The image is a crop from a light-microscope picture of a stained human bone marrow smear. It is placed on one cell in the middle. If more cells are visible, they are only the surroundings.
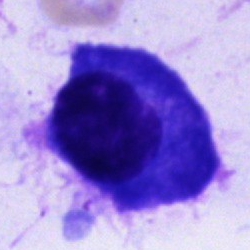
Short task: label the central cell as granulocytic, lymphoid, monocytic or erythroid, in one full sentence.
Within the lymphoid lineage lies the cell at the center of the crop.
